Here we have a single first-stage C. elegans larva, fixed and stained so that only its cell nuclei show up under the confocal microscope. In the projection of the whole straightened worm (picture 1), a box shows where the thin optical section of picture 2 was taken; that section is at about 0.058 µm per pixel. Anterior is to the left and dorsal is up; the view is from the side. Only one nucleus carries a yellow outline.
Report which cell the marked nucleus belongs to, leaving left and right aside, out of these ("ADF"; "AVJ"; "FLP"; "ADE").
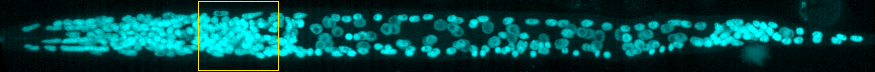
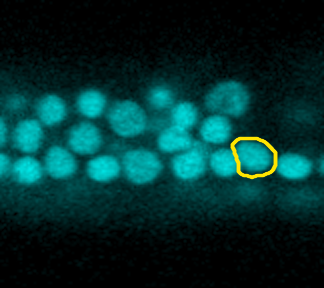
ADE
